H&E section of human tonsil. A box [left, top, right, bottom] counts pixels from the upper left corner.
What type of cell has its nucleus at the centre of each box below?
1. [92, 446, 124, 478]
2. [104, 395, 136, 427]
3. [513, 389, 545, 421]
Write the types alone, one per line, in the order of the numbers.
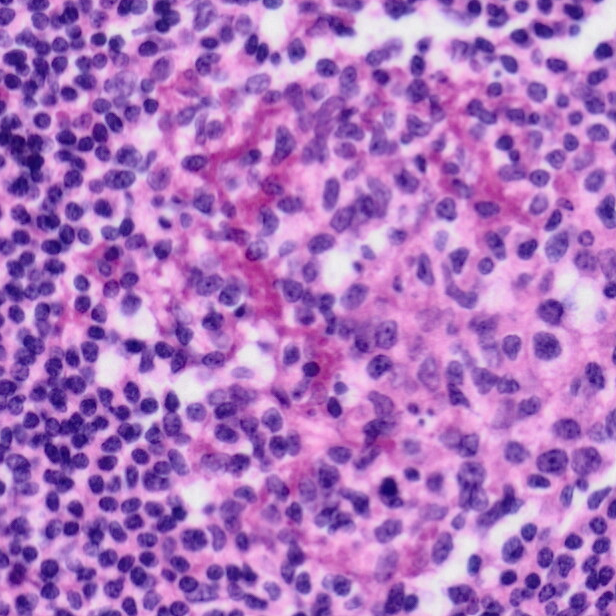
small lymphocyte
small lymphocyte
proliferating B cell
